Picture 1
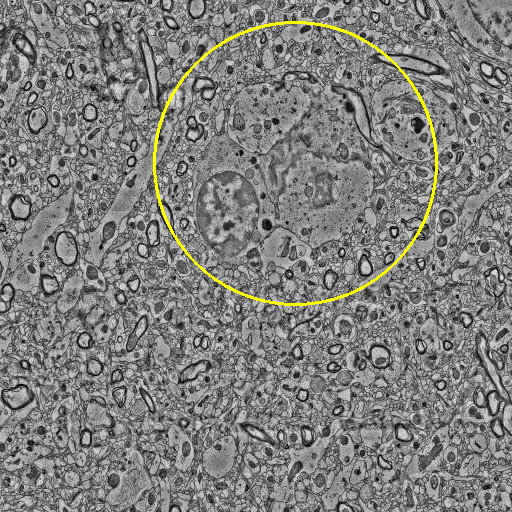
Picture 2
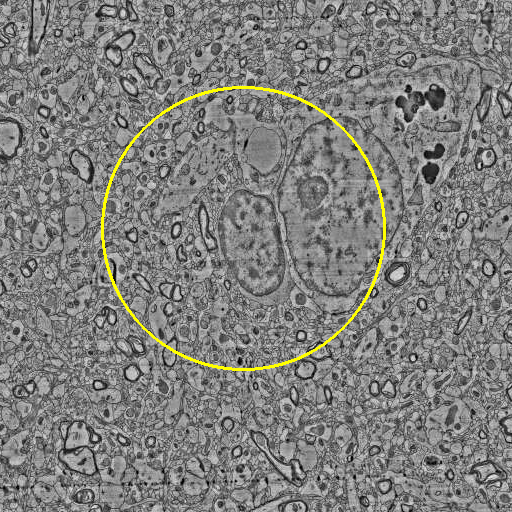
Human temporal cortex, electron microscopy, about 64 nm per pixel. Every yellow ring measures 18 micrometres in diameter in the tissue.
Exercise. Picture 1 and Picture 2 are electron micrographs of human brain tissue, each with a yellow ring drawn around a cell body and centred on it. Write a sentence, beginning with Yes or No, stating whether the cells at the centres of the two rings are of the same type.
Yes, the cells at the centres of both rings are of the same type.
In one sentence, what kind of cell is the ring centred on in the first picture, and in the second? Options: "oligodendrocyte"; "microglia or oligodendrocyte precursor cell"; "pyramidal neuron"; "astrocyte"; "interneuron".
Both the first and the second picture show an oligodendrocyte in the ring.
